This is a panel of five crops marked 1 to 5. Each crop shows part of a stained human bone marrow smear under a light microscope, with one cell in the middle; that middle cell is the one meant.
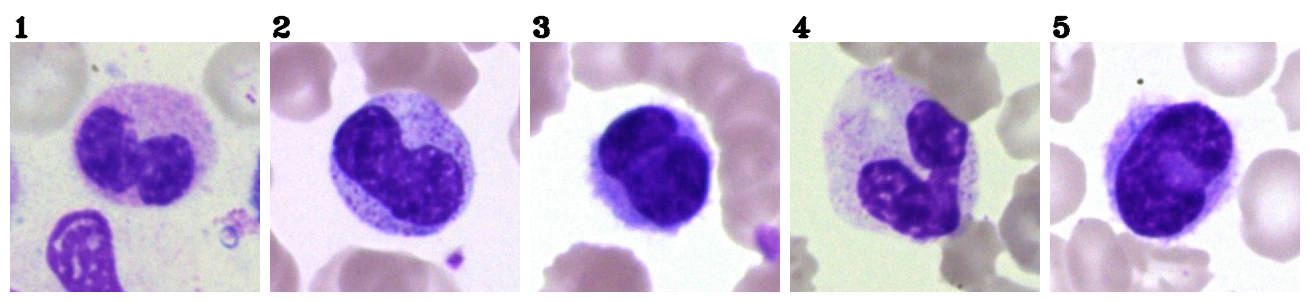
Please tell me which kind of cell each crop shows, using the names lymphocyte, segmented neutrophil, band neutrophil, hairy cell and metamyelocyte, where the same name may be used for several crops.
1: segmented neutrophil
2: metamyelocyte
3: hairy cell
4: segmented neutrophil
5: hairy cell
